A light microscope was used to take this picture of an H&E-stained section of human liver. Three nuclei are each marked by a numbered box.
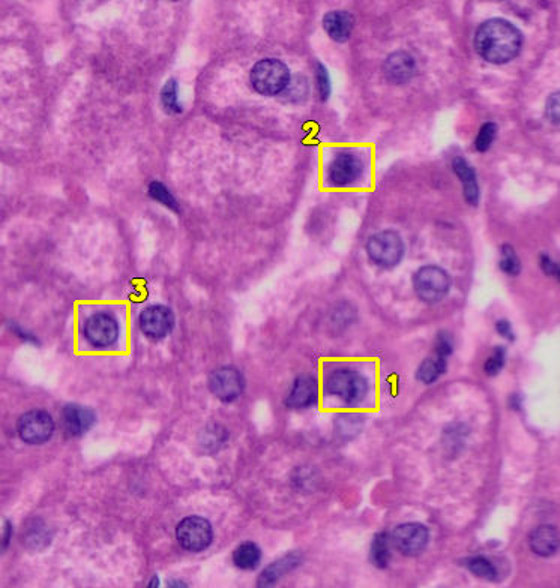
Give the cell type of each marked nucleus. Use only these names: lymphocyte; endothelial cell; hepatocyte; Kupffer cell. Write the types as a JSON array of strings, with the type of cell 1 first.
["hepatocyte", "Kupffer cell", "hepatocyte"]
